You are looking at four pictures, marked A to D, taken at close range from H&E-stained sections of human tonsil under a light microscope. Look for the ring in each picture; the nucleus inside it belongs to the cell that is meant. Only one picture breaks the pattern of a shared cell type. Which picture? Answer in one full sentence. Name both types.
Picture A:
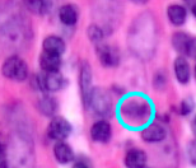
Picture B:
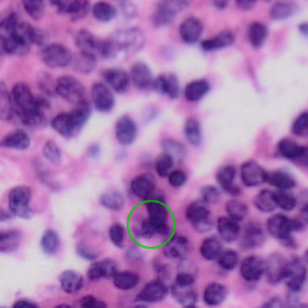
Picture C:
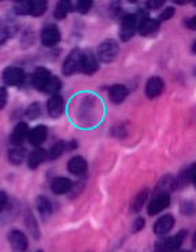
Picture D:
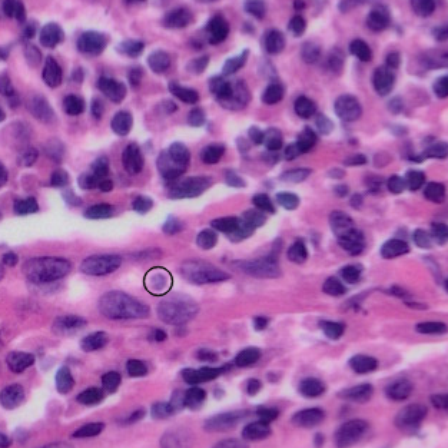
Picture B differs, because its cell is a small lymphocyte and the rest are endothelial cells.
